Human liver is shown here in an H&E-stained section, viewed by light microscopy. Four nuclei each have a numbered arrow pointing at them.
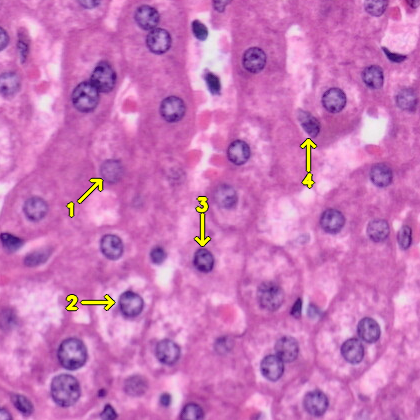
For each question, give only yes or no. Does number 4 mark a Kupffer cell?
yes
